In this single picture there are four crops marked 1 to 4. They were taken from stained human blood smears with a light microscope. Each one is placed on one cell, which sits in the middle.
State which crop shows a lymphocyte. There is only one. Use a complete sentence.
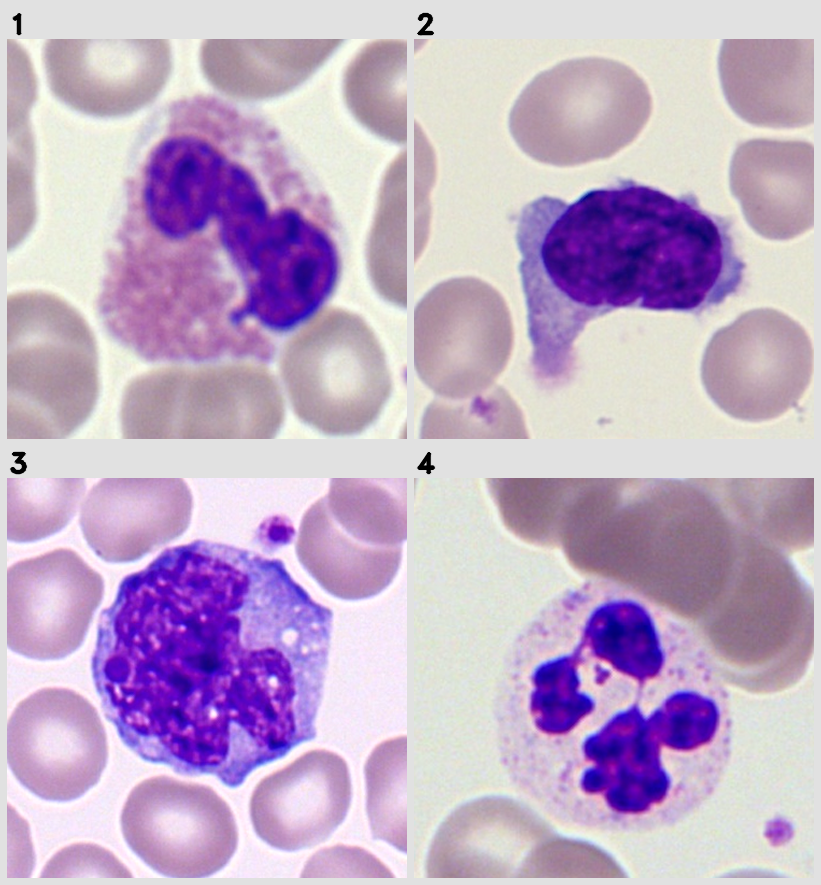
It is crop 2, not any other, that shows a lymphocyte.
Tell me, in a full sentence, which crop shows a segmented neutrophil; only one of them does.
The crop marked 4 is the one that shows a segmented neutrophil.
